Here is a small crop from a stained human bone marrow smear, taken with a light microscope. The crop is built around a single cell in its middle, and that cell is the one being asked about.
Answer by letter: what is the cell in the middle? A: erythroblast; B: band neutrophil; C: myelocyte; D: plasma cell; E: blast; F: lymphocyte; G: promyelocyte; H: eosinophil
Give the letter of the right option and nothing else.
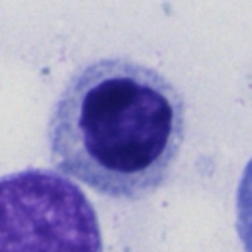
A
